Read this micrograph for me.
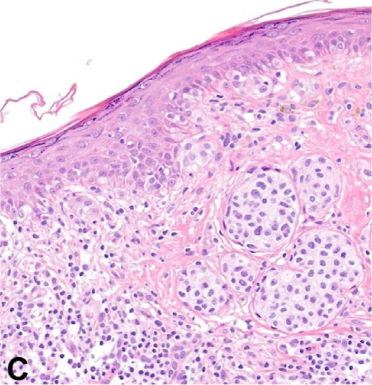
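A compound melanocytic lesion with nests of melanocytes along the base of the epidermis and in the papillary dermis. The nests are rounded and composed of cells with pale cytoplasm, set in pink collagen strands. The overlying epidermis is intact with a thin keratin layer, and small brown pigment granules are scattered in the upper dermis.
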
